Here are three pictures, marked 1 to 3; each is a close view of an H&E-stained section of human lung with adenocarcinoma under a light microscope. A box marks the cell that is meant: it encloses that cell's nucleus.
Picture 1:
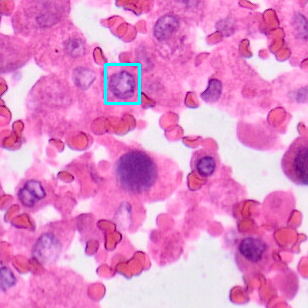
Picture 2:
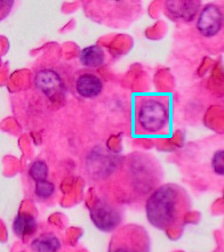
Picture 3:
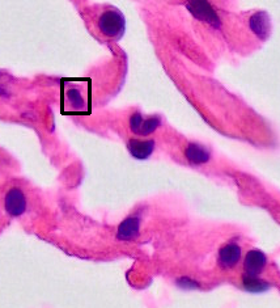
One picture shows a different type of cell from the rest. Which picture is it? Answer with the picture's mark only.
3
